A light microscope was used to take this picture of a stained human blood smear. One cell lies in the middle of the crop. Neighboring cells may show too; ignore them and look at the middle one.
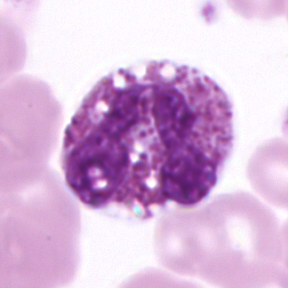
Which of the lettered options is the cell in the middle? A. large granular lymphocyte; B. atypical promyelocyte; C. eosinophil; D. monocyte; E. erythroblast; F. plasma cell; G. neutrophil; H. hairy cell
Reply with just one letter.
C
